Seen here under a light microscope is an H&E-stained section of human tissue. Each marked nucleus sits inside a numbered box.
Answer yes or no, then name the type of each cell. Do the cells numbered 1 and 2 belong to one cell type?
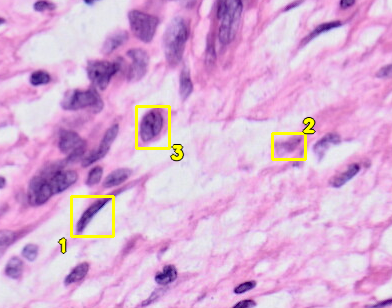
Yes, by their numbers, cells 1 and 2 are both fibroblasts or myofibroblasts.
